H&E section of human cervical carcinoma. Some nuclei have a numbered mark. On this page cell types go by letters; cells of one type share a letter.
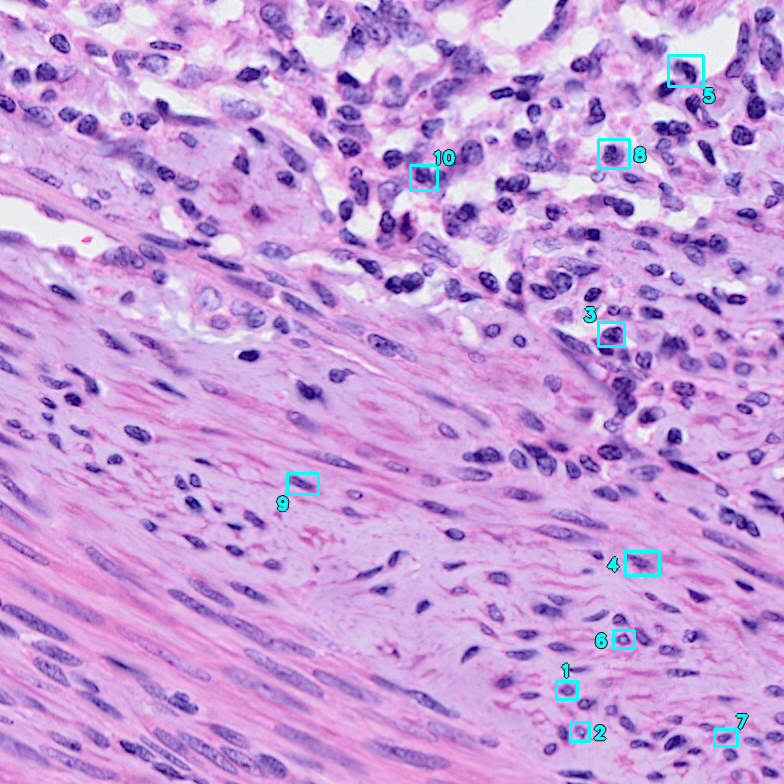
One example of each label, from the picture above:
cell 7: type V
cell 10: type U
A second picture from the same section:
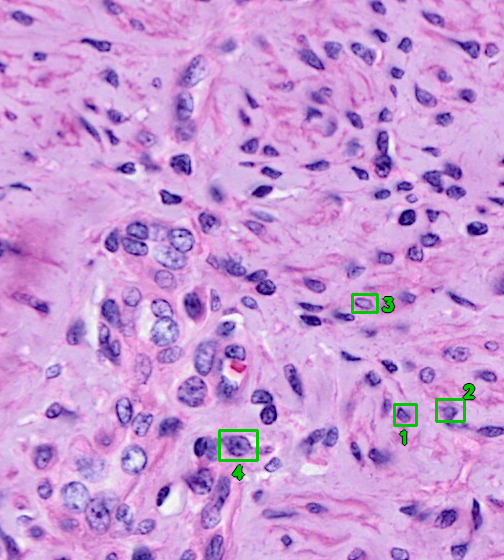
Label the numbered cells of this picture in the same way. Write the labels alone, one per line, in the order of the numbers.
type V
type V
type V
type U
